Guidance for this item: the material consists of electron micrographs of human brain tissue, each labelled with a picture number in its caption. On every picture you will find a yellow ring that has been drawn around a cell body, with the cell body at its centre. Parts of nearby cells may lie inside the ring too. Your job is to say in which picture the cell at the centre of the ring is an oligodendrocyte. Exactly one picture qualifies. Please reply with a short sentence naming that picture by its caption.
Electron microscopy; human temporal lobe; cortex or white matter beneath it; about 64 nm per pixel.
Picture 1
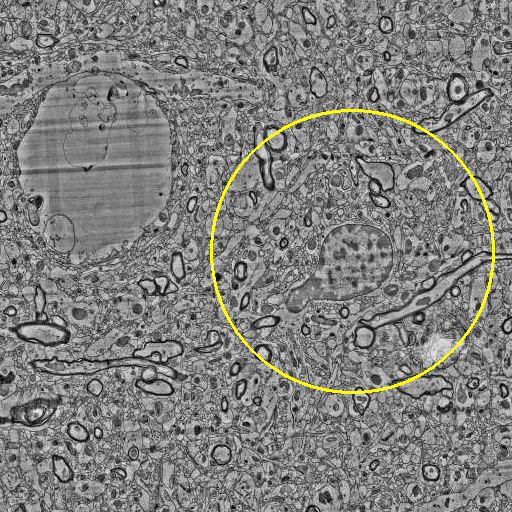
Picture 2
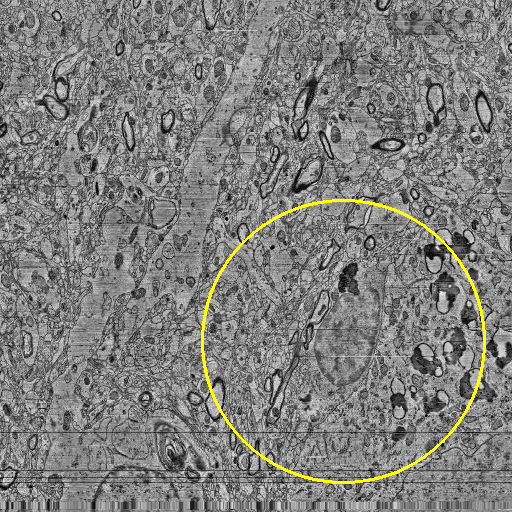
Picture 2 shows it at the centre of the ring.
